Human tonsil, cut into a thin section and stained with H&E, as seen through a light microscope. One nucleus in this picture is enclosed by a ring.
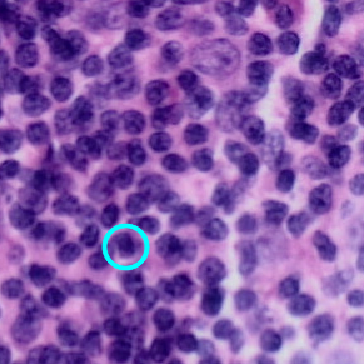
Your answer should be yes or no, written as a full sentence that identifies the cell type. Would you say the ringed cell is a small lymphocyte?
Yes, in this field of view, the ringed cell is a small lymphocyte.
